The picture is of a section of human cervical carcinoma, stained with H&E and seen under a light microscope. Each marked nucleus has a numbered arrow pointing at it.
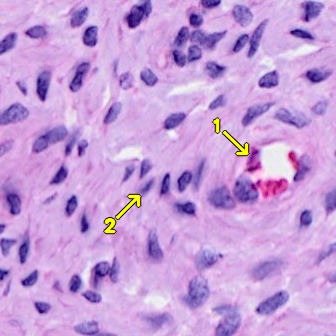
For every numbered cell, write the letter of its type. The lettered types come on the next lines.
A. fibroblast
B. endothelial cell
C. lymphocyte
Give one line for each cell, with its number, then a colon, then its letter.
1: B
2: A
